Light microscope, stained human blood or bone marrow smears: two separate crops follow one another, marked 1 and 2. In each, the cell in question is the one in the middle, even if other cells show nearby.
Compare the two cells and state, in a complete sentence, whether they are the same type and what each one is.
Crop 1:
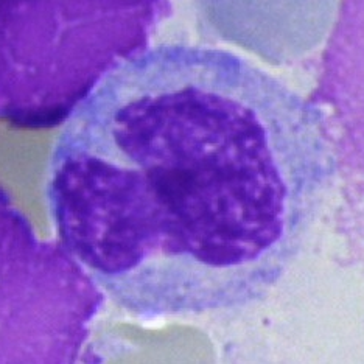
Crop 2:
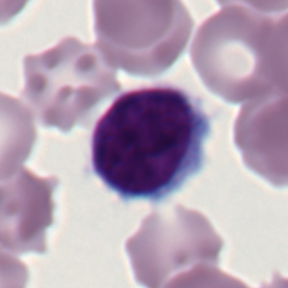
No, crop 1 contains a monocyte, and crop 2 contains a hairy cell.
